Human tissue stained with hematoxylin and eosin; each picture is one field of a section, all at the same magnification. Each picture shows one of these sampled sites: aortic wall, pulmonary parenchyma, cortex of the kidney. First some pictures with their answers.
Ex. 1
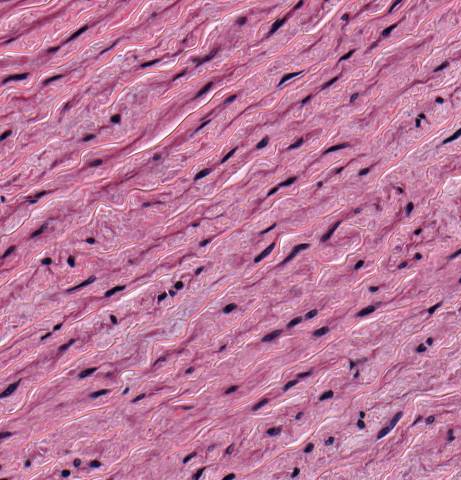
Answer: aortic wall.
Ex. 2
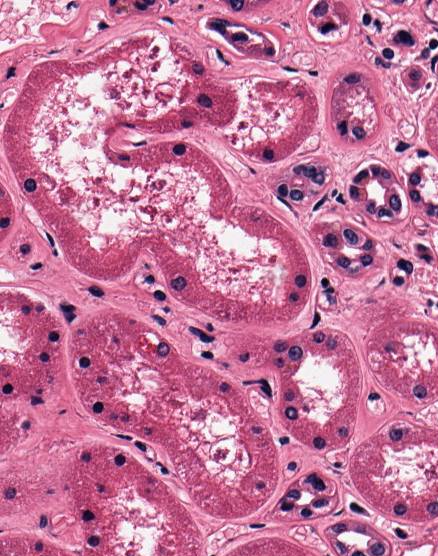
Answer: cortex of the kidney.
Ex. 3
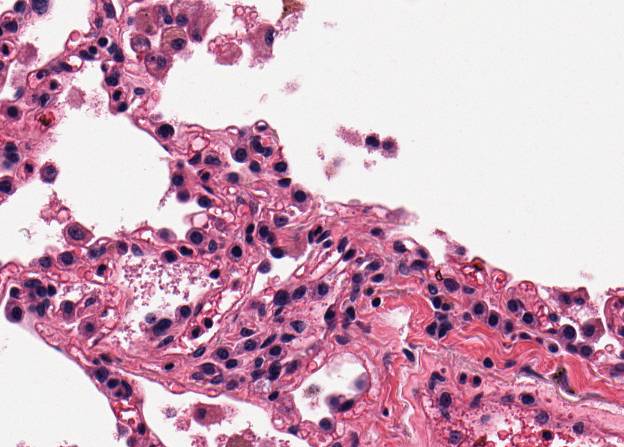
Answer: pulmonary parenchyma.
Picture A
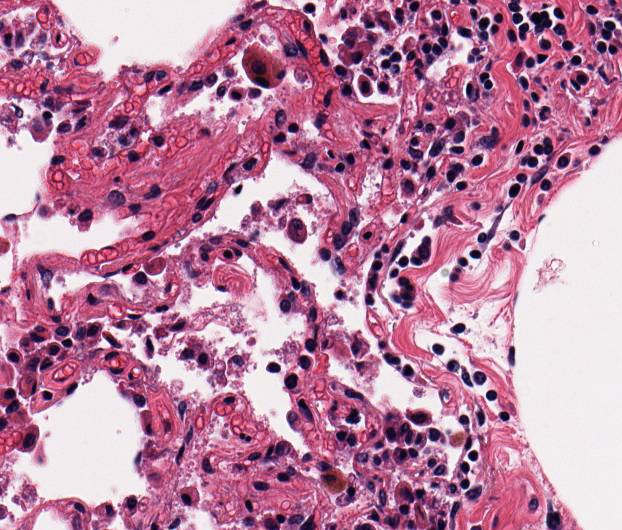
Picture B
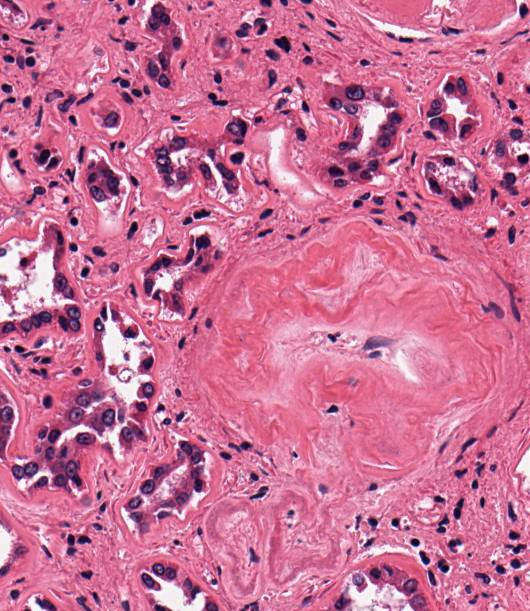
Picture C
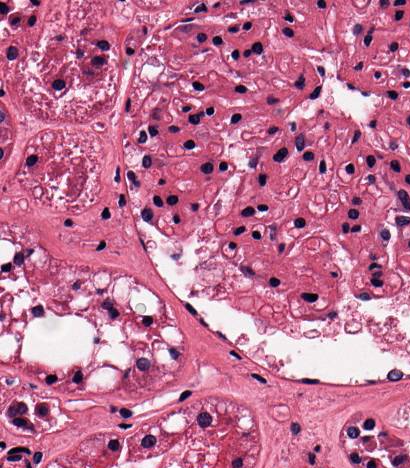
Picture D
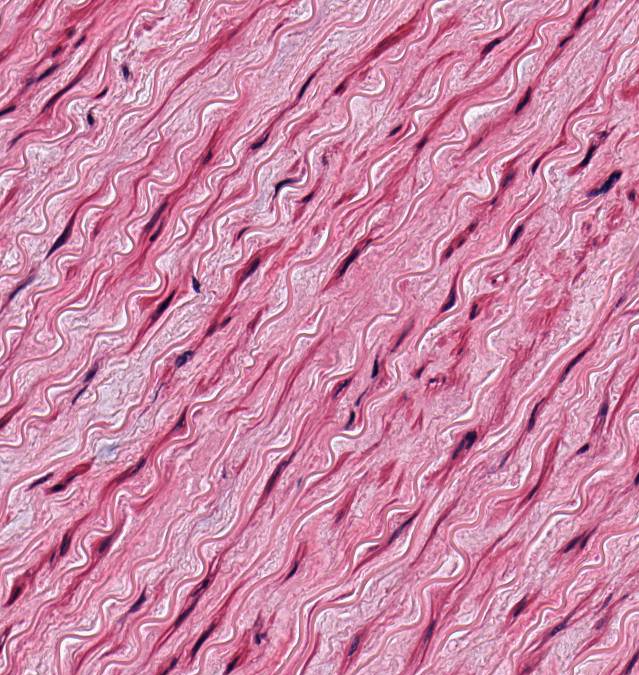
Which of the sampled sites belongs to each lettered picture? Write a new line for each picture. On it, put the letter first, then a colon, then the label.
A: pulmonary parenchyma.
B: cortex of the kidney.
C: cortex of the kidney.
D: aortic wall.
